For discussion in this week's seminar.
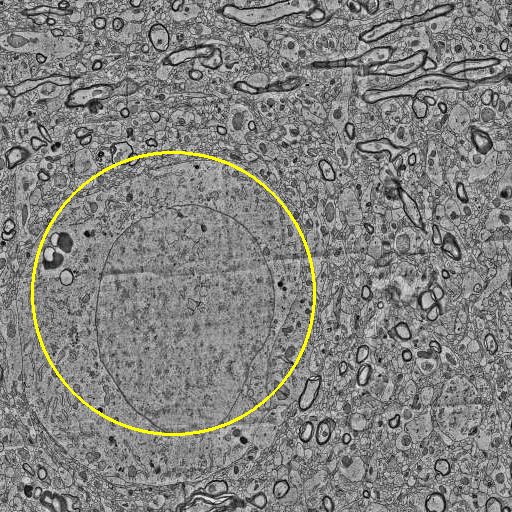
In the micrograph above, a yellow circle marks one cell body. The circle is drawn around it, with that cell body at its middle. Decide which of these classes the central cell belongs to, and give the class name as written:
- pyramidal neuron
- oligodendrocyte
pyramidal neuron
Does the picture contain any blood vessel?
No, the picture includes no blood vessel.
